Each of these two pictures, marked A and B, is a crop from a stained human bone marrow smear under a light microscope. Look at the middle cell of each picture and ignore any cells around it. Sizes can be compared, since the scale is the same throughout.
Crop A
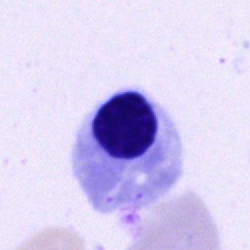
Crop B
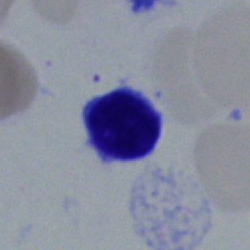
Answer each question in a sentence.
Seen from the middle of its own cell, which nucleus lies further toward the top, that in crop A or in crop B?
It is the nucleus in crop A that lies further toward the top of its cell.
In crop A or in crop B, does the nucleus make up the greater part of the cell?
In crop B the nucleus takes up the larger part of its cell.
